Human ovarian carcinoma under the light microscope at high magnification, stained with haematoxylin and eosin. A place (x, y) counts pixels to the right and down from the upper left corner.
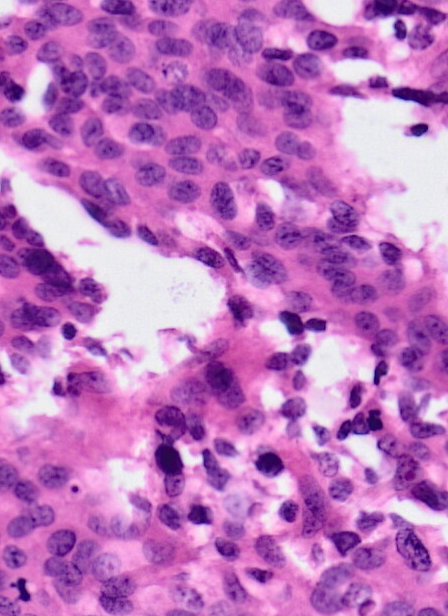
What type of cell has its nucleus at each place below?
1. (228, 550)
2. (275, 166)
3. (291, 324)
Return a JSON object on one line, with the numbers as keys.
{"1": "carcinoma cell", "2": "macrophage or monocyte", "3": "carcinoma cell"}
